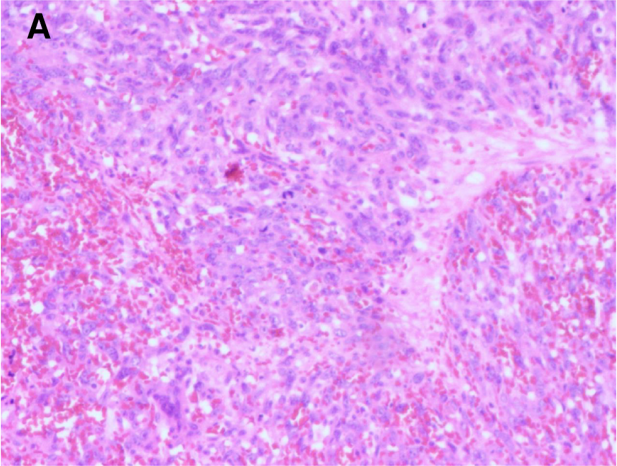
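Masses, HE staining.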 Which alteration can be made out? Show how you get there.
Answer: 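Wide areas are filled with free red blood cells lying among the tumour cells. The red blood cells are not confined within vessel walls.
Hemorrhage.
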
